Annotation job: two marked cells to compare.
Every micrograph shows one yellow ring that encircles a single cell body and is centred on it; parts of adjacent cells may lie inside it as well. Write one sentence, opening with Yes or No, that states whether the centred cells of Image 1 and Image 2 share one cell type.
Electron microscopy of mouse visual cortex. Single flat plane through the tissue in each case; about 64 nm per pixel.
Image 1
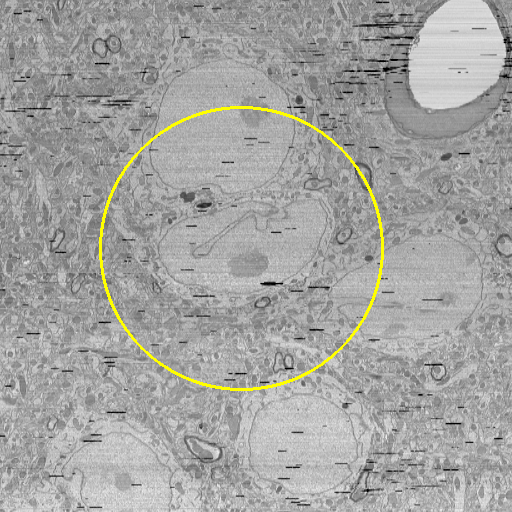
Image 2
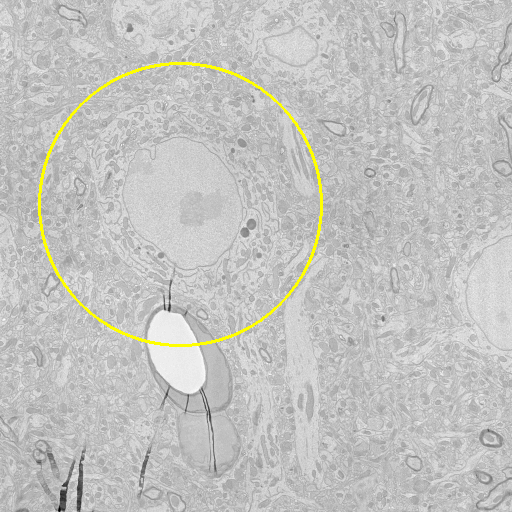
Yes, the cell centred in Image 1 shares its type with the cell centred in Image 2.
